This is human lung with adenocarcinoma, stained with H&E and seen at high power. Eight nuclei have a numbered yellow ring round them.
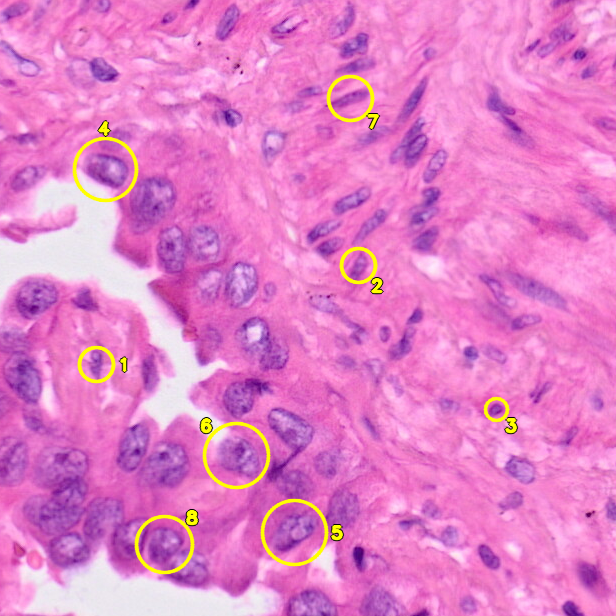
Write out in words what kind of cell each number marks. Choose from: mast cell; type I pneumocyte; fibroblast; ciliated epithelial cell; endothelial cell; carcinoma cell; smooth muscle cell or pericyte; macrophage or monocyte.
Cell 1 is a fibroblast, cell 2 is a smooth muscle cell or pericyte, cell 3 is a smooth muscle cell or pericyte, cell 4 is a carcinoma cell, cell 5 is a carcinoma cell, cell 6 is a carcinoma cell, cell 7 is a smooth muscle cell or pericyte and cell 8 is a carcinoma cell.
